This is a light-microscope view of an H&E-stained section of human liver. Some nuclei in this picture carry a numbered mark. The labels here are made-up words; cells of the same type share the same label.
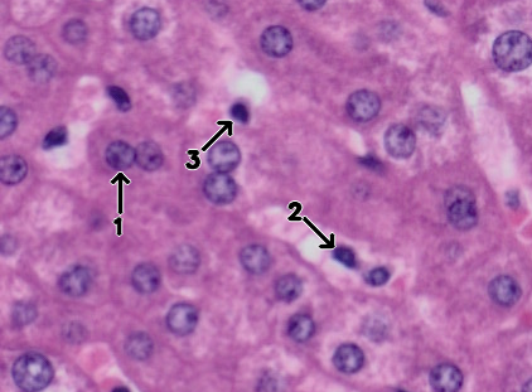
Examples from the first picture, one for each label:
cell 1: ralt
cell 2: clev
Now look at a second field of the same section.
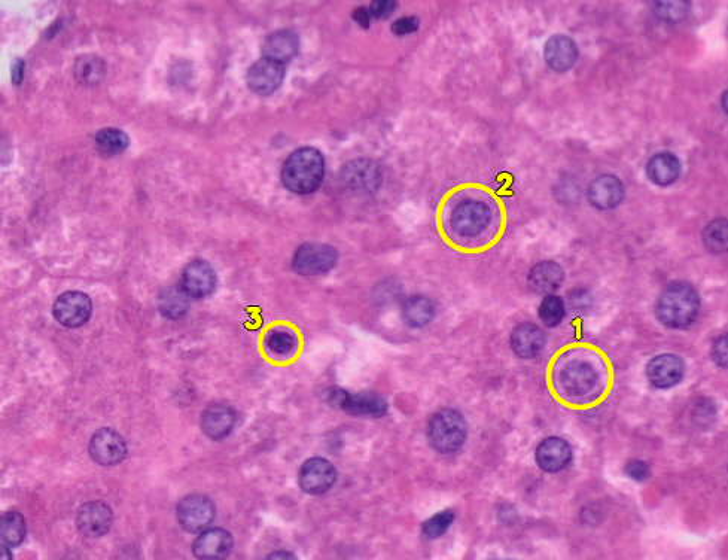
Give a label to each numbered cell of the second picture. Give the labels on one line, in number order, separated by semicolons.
ralt; ralt; clev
